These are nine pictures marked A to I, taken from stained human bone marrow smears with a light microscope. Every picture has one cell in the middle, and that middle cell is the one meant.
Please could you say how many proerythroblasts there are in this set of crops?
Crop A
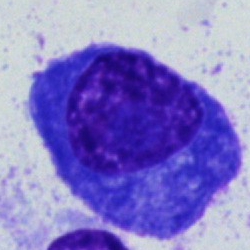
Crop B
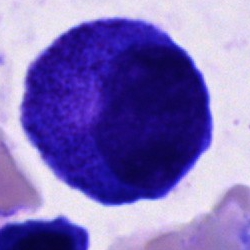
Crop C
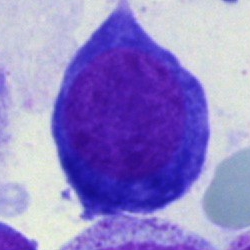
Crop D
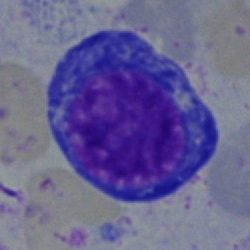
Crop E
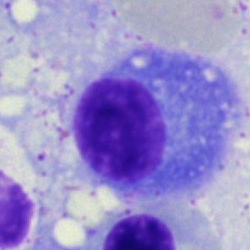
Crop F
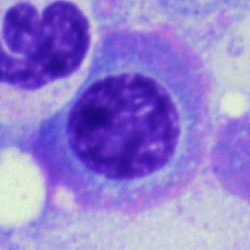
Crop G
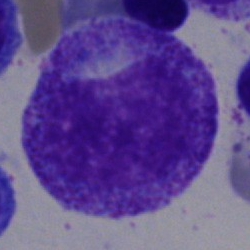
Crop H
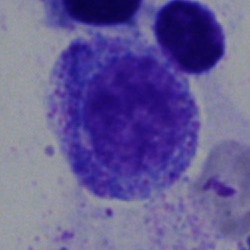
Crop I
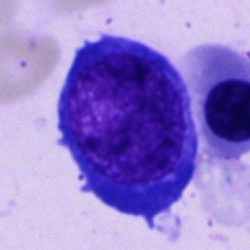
3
